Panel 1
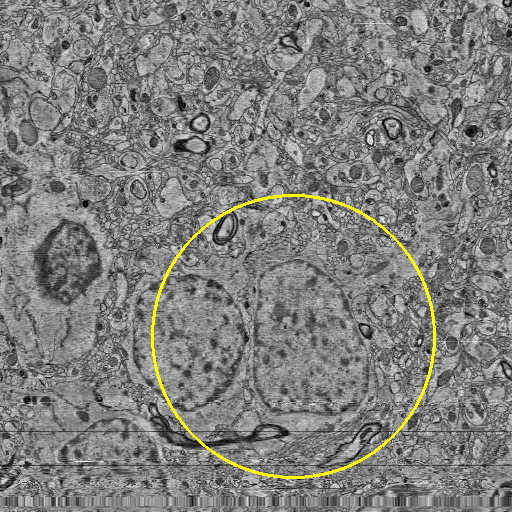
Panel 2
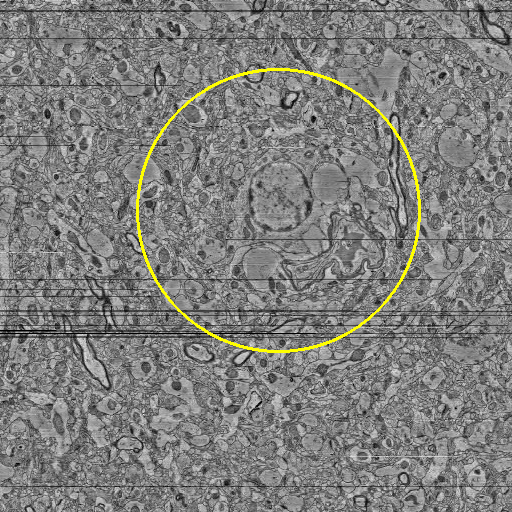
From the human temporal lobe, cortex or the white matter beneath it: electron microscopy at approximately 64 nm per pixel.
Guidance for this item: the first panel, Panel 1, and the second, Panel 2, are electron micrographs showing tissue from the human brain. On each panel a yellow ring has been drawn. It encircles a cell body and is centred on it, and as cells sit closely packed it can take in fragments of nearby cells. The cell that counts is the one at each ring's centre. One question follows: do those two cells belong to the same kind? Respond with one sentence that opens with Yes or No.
Yes, the cells at the ring centres in Panel 1 and Panel 2 are of one kind.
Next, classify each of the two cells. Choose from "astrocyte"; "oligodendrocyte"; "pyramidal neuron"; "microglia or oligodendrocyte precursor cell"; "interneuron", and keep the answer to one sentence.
Each of the two rings is centred on a microglial cell or oligodendrocyte precursor cell.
